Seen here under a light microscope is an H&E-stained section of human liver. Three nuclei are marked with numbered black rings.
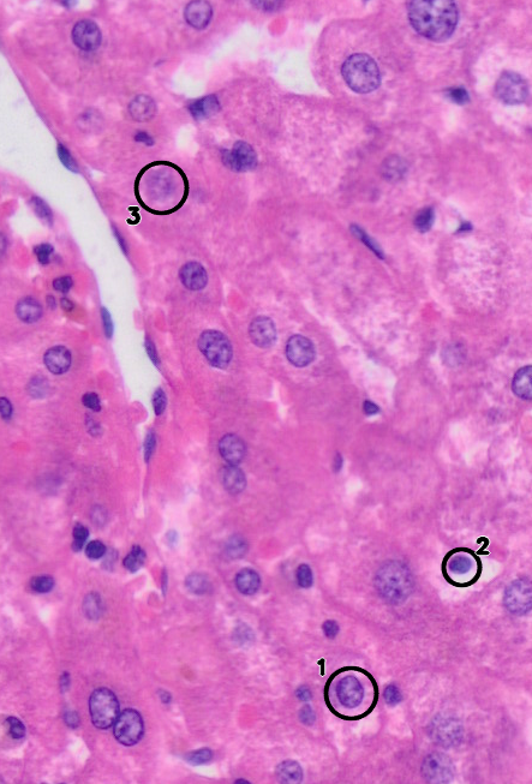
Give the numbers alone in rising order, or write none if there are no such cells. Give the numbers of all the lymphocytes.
2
